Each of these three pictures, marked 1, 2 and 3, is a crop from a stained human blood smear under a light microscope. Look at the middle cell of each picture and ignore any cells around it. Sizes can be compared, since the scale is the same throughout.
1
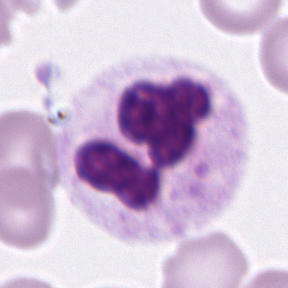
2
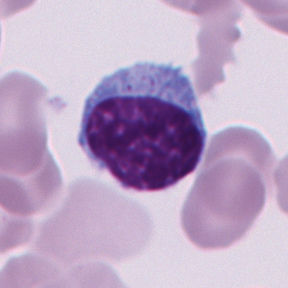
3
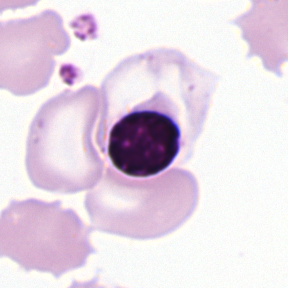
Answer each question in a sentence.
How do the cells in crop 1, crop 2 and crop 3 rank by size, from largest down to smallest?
The order is 1, 2, 3, beginning with the largest.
